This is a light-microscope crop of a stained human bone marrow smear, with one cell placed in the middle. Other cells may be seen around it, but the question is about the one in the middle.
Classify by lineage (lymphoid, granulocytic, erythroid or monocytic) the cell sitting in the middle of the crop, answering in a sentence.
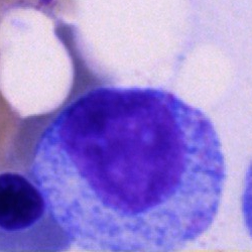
By lineage, the cell in the middle of the crop is granulocytic.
